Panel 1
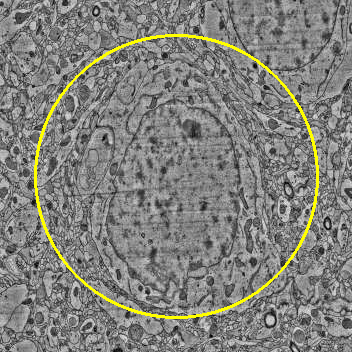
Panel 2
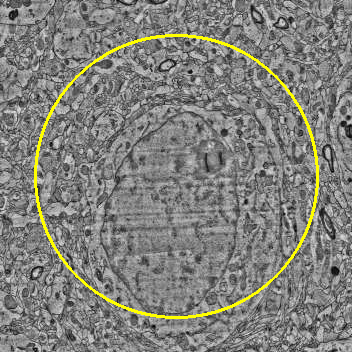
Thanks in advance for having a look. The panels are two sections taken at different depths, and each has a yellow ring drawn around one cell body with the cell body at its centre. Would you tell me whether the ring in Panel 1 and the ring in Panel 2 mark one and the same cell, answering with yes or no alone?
no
